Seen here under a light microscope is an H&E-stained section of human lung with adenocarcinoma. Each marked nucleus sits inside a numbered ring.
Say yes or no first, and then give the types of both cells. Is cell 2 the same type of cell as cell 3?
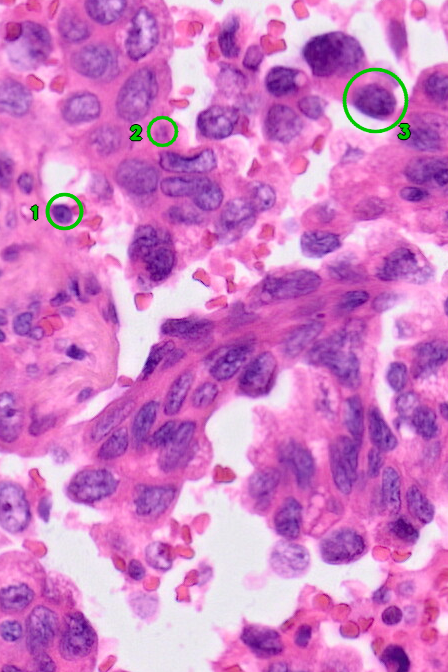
Yes, both are carcinoma cells.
